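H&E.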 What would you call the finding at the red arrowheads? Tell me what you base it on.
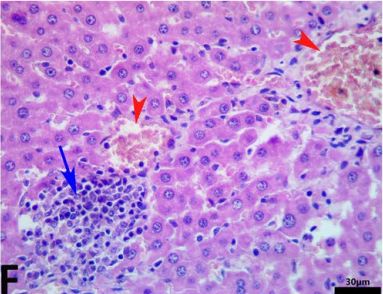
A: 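Spaces marked by the red arrowheads are packed with red blood cells. So: congestion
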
